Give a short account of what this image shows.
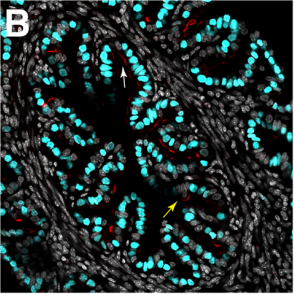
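This cross-section shows the oviduct lining thrown into many narrow folds, each covered by a single layer of epithelial cells. A large share of the epithelial cells carry bright cyan nuclei, mixed among cells with grey nuclei. Small red deposits lie among the epithelial cells of the folds. The folds sit on a core and wall of densely packed grey nuclei, many of them elongated.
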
